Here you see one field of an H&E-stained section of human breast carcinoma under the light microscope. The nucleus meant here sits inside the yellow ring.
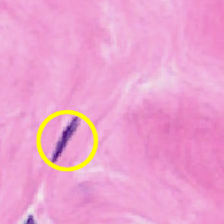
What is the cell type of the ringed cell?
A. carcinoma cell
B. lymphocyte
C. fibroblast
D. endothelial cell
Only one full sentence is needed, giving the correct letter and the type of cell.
The correct option is C, and the ringed cell is a fibroblast.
